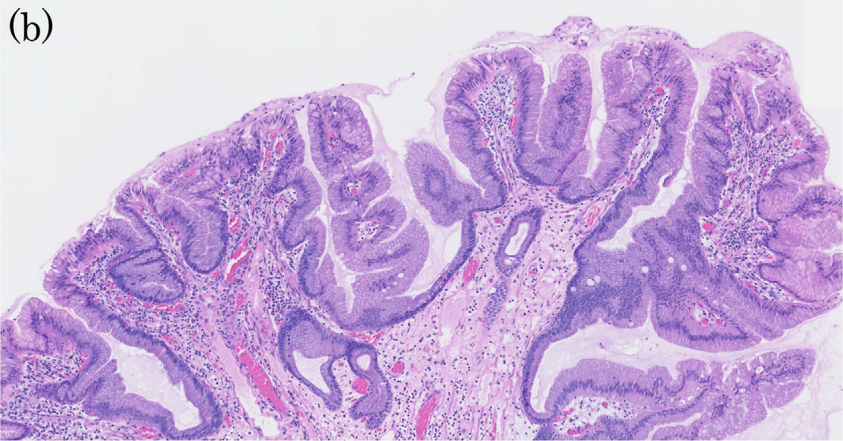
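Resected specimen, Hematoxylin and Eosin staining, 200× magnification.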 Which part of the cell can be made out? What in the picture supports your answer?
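Nuclei are pushed to the base of the cells.
Conclusion: abundant cytoplasmic mucin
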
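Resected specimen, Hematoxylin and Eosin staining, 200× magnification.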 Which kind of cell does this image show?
Gastric foveolar‐type epithelial cells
